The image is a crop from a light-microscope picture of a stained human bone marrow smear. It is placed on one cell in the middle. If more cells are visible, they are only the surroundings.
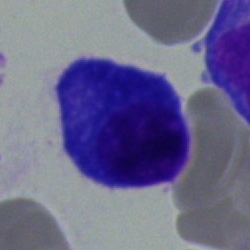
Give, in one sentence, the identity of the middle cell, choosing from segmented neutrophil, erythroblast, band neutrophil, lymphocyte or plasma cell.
The crop centres on a single cell, and that cell is a plasma cell.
